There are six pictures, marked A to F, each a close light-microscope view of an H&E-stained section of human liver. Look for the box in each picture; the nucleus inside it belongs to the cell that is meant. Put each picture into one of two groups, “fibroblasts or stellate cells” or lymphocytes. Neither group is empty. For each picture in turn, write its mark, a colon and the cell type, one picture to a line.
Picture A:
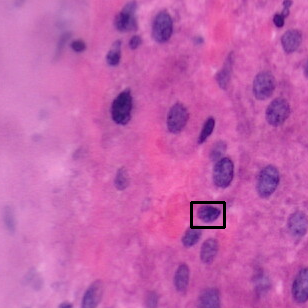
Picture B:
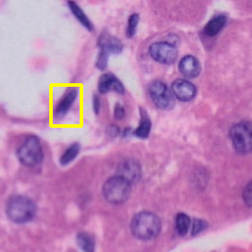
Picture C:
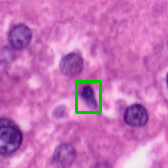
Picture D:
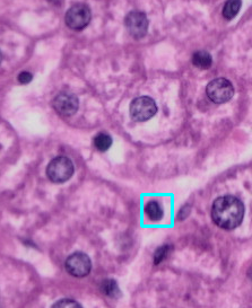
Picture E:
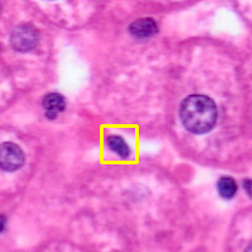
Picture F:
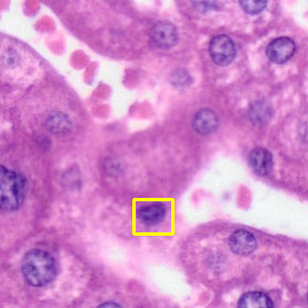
A: fibroblast or stellate cell
B: fibroblast or stellate cell
C: fibroblast or stellate cell
D: lymphocyte
E: lymphocyte
F: fibroblast or stellate cell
